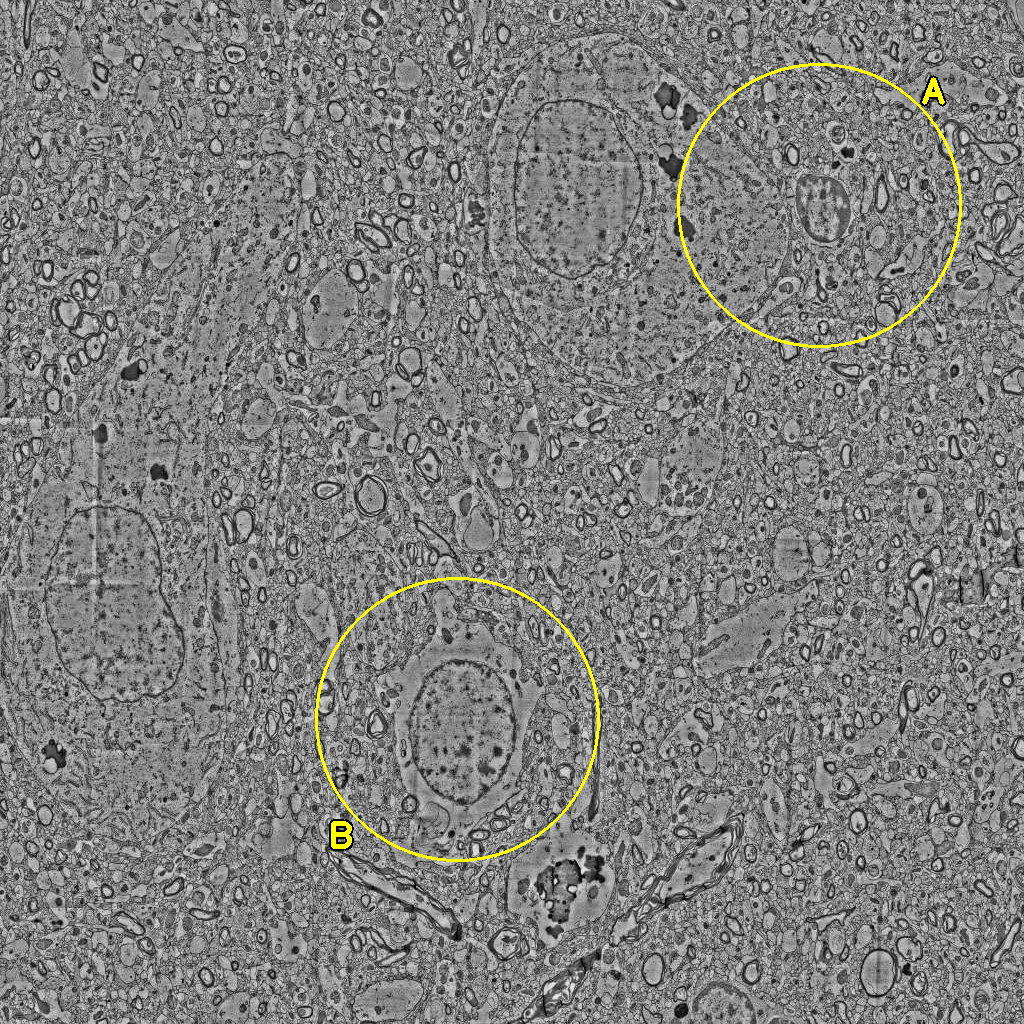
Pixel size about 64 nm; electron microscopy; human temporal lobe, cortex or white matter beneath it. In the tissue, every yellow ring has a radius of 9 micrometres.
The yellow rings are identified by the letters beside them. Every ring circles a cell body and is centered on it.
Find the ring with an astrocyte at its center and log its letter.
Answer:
B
